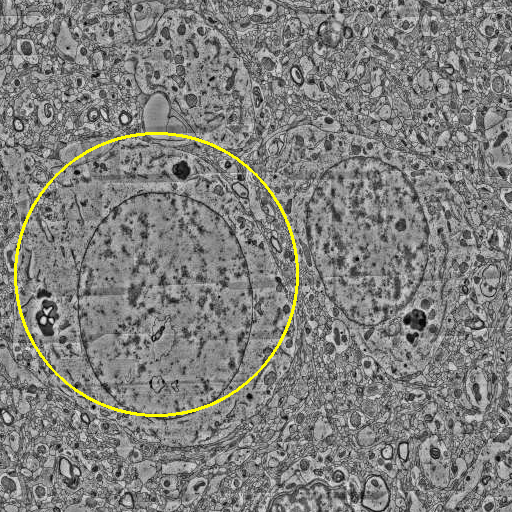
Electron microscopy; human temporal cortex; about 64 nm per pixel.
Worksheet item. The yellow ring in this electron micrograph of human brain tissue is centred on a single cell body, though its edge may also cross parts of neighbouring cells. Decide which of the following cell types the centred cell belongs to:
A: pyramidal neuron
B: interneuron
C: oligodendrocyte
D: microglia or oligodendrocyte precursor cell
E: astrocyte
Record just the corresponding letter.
A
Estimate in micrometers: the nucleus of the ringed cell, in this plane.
In this plane the nucleus is about 14 micrometres by 11.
